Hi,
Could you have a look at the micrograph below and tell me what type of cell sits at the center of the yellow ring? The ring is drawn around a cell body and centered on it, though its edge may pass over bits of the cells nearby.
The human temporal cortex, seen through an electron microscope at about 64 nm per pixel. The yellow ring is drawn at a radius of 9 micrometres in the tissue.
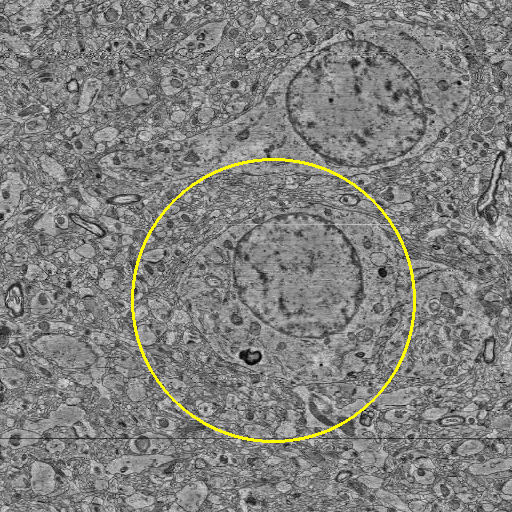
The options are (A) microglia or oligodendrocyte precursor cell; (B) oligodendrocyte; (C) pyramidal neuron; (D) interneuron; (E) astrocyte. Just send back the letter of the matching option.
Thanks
C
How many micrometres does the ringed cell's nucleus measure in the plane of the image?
In this plane the ringed cell's nucleus is roughly 8 micrometres across.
